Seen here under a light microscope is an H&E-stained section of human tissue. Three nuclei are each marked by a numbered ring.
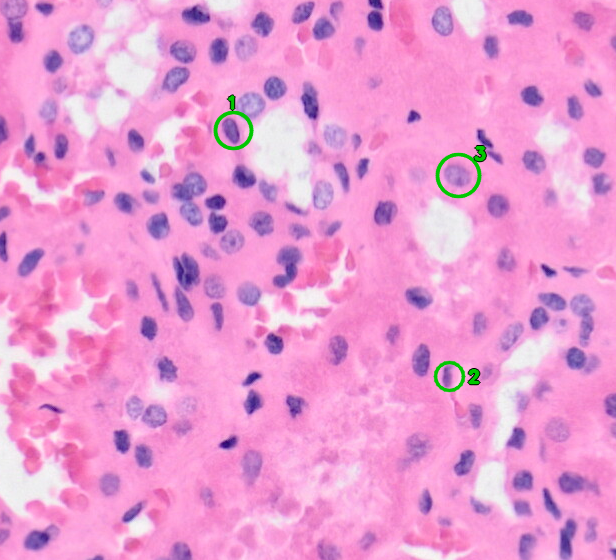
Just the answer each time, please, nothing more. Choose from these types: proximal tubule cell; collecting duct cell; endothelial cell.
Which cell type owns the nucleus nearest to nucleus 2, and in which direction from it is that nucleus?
a proximal tubule cell above and to the left of nucleus 2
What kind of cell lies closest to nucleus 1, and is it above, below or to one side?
a collecting duct cell, above and to the right of nucleus 1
